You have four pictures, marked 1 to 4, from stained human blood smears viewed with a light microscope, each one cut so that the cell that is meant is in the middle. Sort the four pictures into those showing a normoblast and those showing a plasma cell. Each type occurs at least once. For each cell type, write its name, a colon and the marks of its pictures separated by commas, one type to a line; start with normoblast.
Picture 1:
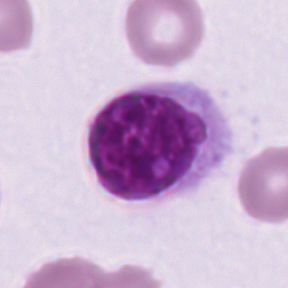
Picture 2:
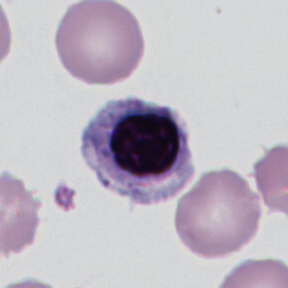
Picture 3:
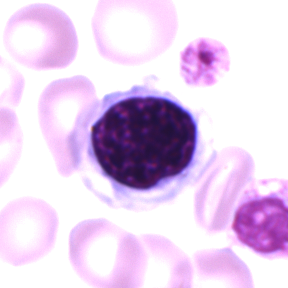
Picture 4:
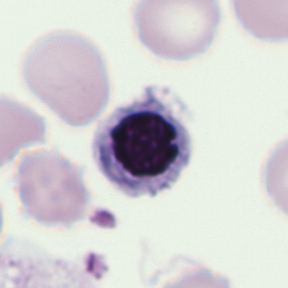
normoblast: 2, 3, 4
plasma cell: 1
